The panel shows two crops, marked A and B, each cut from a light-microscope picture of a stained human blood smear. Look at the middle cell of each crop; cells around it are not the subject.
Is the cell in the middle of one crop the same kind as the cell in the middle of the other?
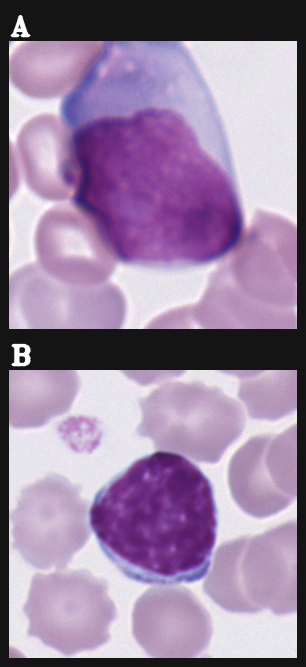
no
